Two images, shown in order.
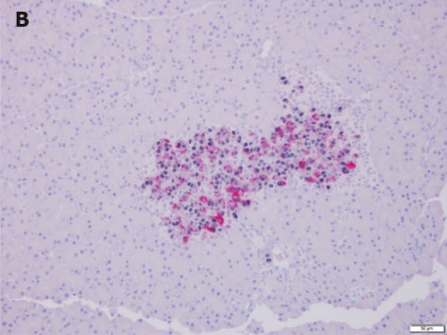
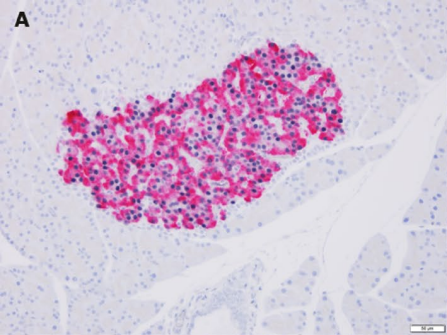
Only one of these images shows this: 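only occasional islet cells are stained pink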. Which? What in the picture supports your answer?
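The first image. Second image: nearly every cell of the cluster carries dense pink cytoplasm.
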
